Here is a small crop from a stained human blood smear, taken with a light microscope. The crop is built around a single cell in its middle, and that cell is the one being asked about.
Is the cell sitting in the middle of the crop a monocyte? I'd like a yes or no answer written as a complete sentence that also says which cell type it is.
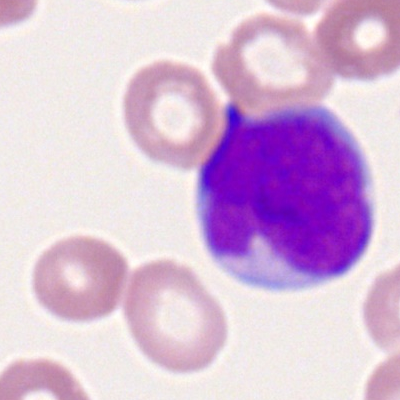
No, it is a myeloblast and not a monocyte that occupies the middle of the crop.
